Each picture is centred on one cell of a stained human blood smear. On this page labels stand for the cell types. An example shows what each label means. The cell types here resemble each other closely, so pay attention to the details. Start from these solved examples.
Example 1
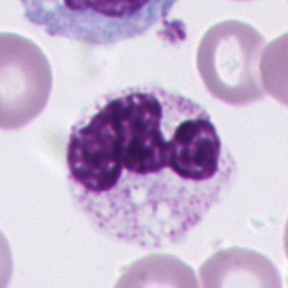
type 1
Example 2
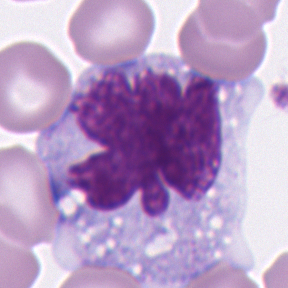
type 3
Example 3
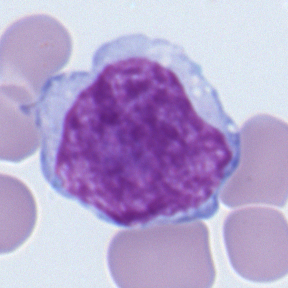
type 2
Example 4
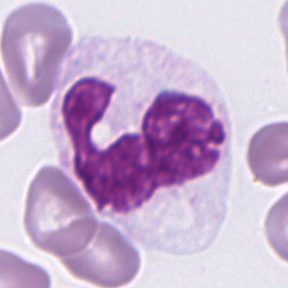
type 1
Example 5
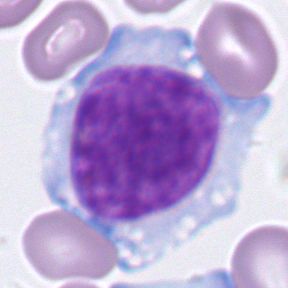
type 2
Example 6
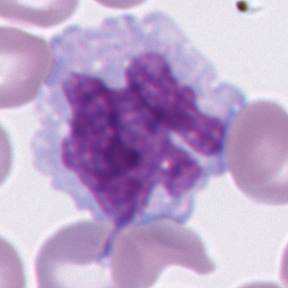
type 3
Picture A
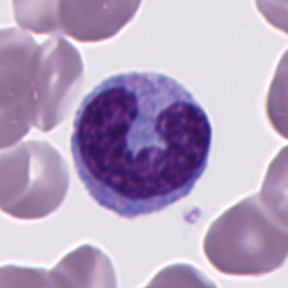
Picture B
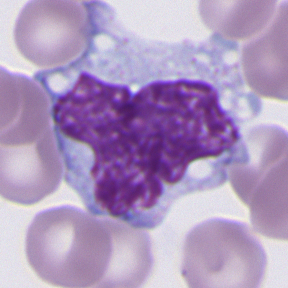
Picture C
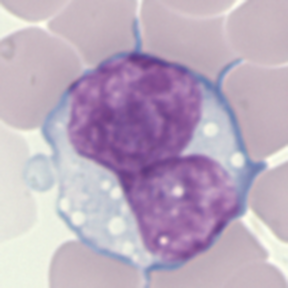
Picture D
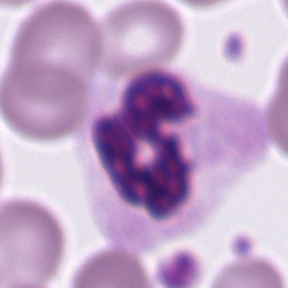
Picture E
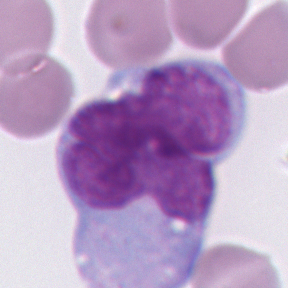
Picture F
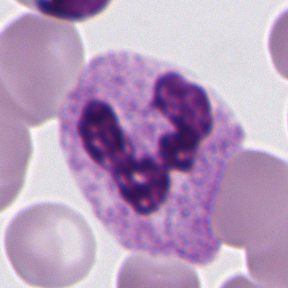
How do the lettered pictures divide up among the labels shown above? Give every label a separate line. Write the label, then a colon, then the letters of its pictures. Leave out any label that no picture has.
type 1: D, F
type 3: A, B, E
type 2: C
